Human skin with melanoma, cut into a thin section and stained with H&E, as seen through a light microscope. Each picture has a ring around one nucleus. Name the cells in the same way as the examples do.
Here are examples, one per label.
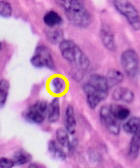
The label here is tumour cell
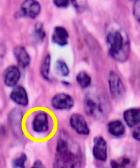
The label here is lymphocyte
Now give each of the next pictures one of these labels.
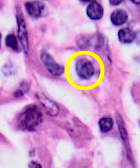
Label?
lymphocyte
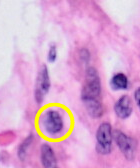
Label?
lymphocyte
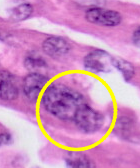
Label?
tumour cell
